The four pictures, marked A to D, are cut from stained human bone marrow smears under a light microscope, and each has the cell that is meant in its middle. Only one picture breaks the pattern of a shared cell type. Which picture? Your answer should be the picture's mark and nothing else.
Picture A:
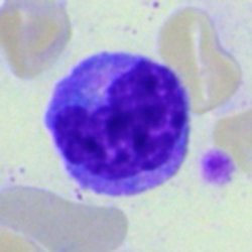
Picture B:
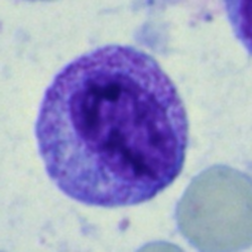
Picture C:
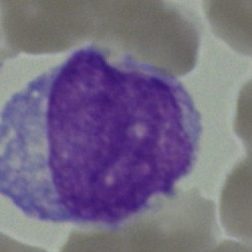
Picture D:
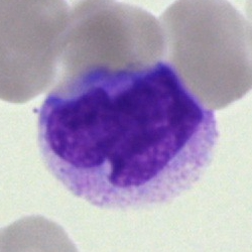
B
